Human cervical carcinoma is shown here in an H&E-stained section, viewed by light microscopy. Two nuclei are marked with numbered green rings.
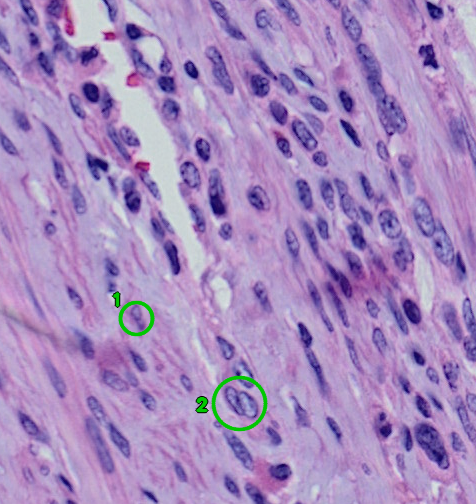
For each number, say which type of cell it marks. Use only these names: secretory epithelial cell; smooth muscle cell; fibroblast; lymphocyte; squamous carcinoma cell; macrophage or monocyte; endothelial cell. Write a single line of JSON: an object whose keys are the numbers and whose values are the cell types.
{"1": "smooth muscle cell", "2": "endothelial cell"}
